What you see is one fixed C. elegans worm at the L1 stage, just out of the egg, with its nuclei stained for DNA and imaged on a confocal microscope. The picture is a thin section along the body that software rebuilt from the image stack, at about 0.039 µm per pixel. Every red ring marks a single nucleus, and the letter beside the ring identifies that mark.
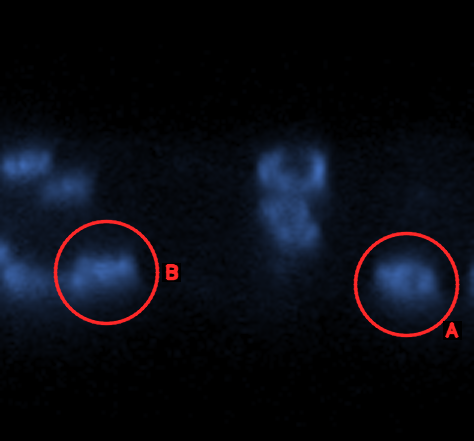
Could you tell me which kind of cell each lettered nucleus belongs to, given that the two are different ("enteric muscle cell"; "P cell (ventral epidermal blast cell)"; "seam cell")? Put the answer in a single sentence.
B belongs to an enteric muscle cell, and A to a P cell (ventral epidermal blast cell).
